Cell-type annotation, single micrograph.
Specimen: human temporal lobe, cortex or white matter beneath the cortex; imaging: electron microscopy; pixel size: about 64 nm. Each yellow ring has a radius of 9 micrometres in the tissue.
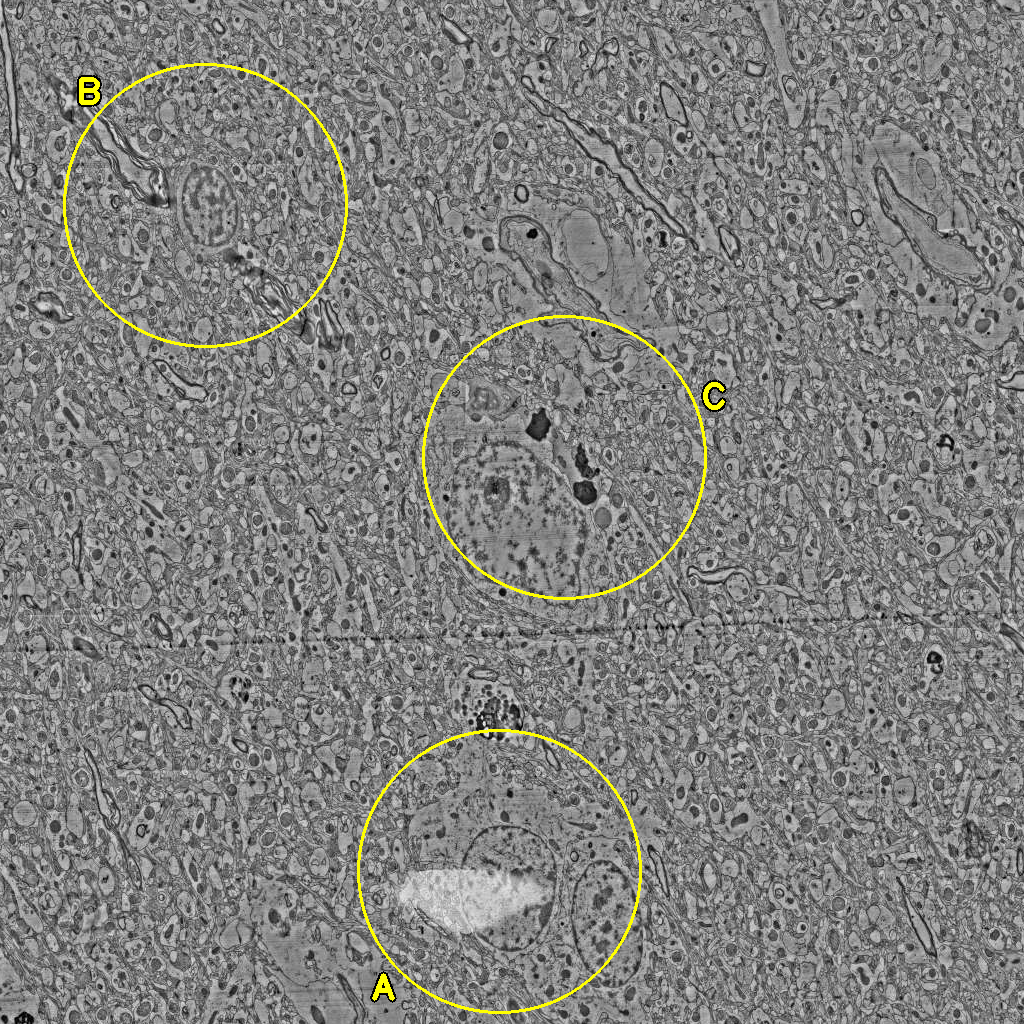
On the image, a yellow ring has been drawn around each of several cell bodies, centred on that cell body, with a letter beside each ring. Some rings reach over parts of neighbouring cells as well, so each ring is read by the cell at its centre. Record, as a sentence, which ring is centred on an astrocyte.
Ring A is centred on it.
